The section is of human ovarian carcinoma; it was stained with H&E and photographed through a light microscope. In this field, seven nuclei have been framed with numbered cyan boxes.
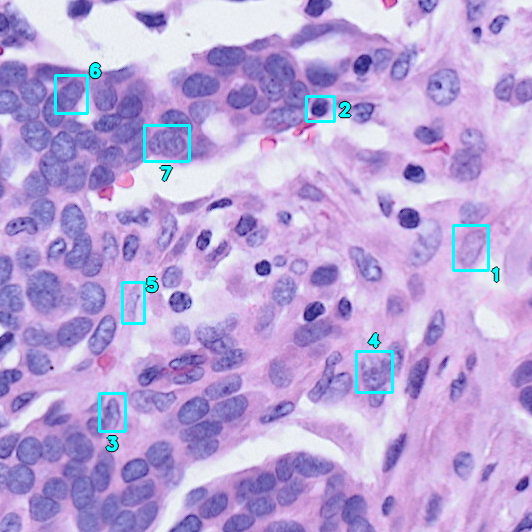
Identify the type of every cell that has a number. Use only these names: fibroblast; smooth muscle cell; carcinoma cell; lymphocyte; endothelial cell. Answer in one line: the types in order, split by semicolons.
fibroblast; lymphocyte; fibroblast; fibroblast; fibroblast; carcinoma cell; carcinoma cell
